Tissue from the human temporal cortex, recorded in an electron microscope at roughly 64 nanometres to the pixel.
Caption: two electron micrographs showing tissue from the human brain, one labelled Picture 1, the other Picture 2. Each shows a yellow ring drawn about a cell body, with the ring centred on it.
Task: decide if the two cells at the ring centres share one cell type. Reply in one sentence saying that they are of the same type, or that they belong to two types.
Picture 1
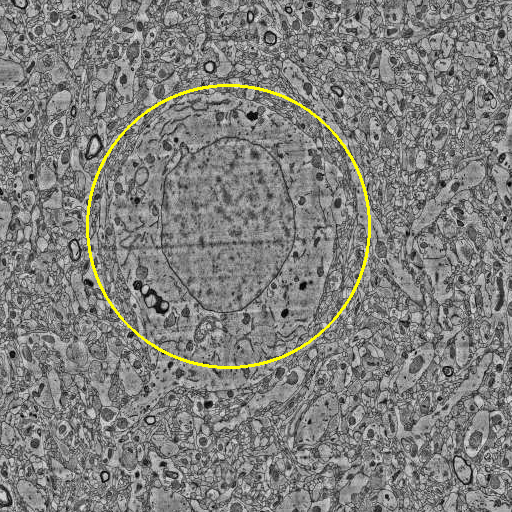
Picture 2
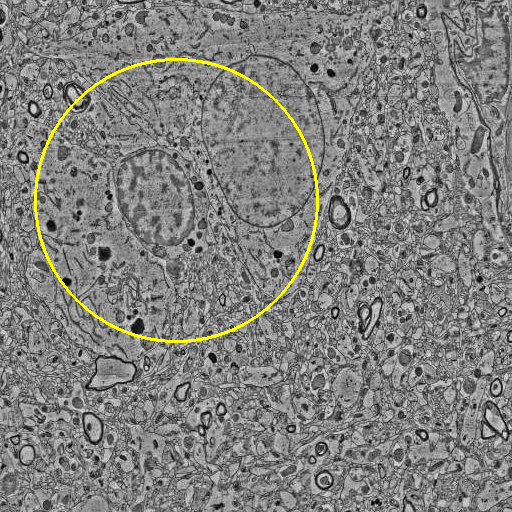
The cells at the ring centres in Picture 1 and Picture 2 belong to two types.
